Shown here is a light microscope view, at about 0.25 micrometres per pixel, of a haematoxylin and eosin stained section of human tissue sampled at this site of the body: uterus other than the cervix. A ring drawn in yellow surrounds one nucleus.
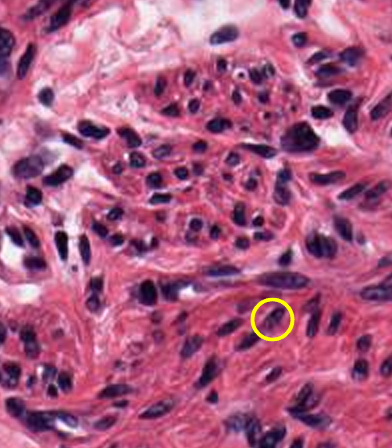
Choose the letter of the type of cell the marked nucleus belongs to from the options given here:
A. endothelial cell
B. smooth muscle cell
B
